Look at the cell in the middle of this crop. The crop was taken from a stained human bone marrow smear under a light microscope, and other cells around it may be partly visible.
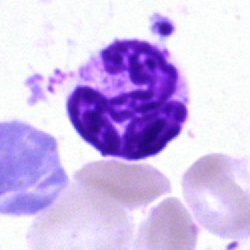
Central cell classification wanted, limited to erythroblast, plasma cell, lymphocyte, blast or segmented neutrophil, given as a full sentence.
At the center of the crop sits a segmented neutrophil.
